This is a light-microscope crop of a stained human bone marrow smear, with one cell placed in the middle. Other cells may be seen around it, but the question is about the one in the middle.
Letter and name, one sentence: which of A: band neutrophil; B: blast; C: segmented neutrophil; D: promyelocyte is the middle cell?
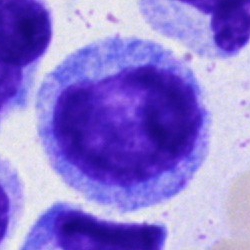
That the central cell is a promyelocyte makes option D correct.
